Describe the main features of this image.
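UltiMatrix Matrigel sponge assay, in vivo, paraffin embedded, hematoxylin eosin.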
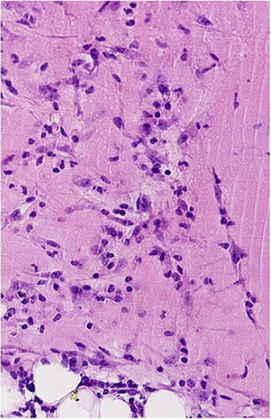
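A pale pink, finely streaked gel matrix is crowded with cells whose nuclei stain dark purple, some small and round, others elongated and spindle-shaped, gathered into cords and loose clusters through the center. A few clear round spaces lie at the lower left edge. This is a cell-rich gel plug invaded by many cells, consistent with vessel-forming angiogenesis.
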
